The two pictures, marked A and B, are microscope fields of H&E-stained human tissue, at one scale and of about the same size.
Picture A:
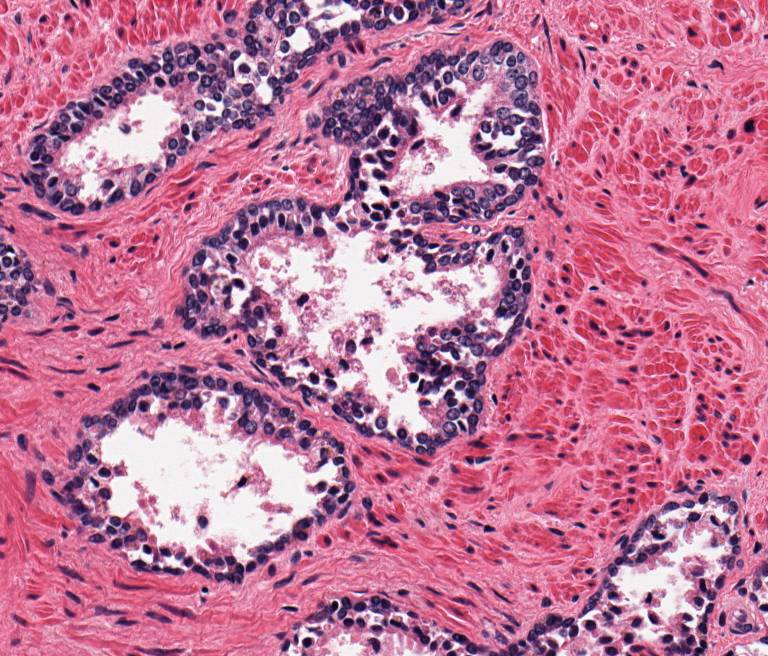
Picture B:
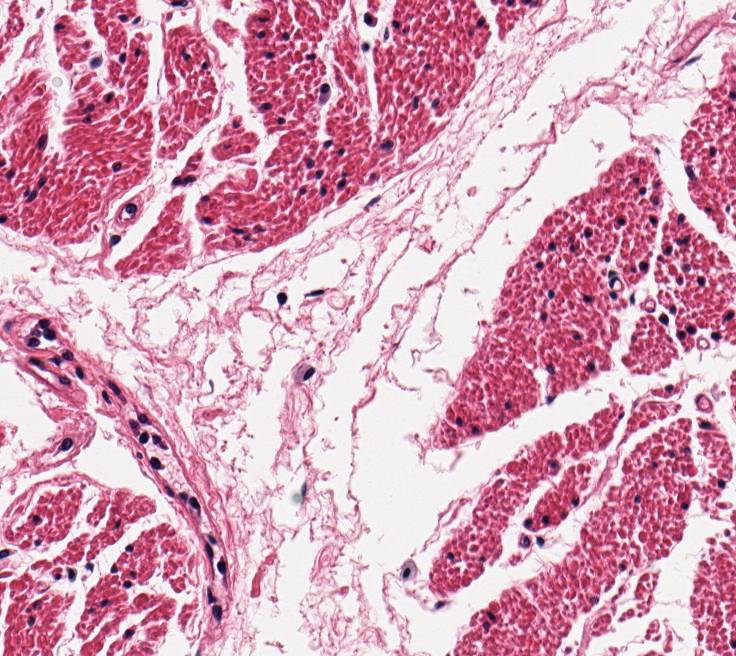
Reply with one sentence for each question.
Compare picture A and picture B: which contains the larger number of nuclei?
There are more nuclei in picture A.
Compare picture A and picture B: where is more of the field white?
It is picture B in which white space covers the larger part.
